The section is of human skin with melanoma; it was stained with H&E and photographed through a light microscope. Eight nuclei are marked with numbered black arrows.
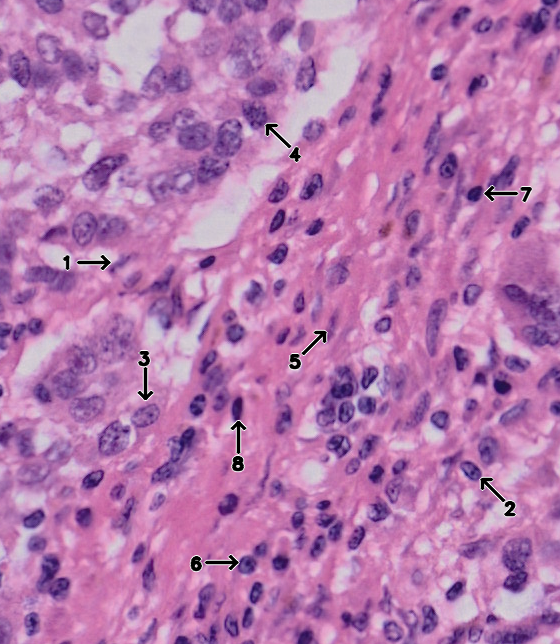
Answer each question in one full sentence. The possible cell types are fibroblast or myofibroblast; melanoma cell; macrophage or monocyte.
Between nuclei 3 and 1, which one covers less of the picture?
Number 1 is smaller, since number 3 takes up about 2.5 times as much area.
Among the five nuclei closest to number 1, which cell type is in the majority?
Most of the five nuclei nearest to number 1 are those of melanoma cells.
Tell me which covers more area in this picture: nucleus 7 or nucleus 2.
Nucleus 2 covers more area, about 1.5 times as much as nucleus 7.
